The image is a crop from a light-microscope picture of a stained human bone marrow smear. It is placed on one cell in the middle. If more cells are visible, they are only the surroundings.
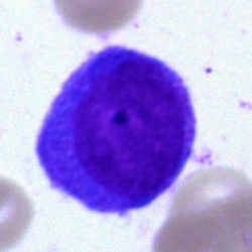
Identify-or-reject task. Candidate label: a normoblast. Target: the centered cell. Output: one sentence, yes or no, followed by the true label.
No, the cell in the middle of the crop counts as a blast and not as a normoblast.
